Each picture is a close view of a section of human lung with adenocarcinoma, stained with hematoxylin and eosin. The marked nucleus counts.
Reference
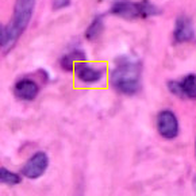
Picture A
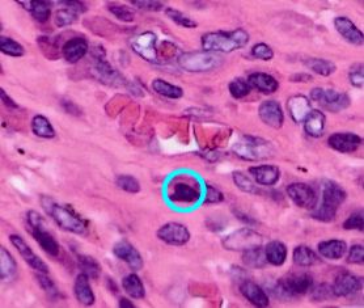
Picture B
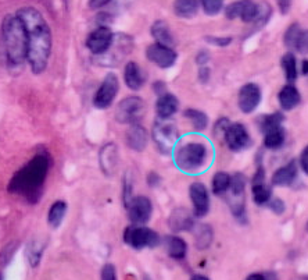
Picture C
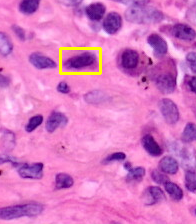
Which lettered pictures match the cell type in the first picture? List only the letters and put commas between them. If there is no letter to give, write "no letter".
A, C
